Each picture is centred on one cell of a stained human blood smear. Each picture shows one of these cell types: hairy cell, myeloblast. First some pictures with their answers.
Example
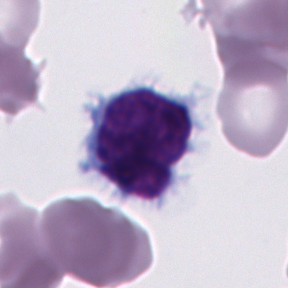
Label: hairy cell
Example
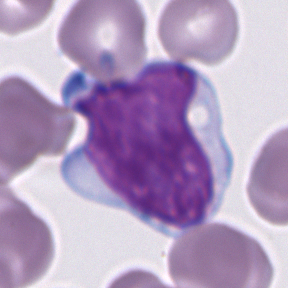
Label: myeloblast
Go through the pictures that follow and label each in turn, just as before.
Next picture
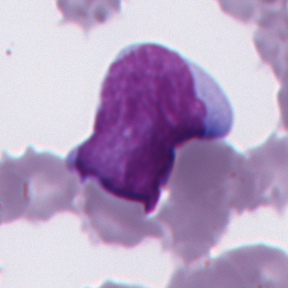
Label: myeloblast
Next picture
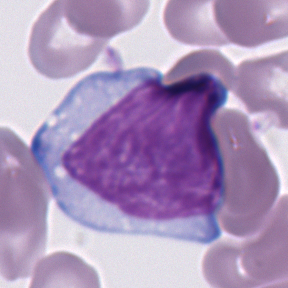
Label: myeloblast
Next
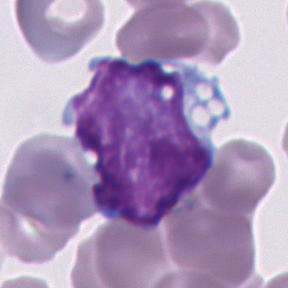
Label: myeloblast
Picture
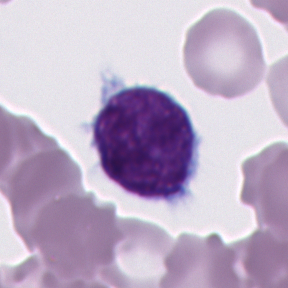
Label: hairy cell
